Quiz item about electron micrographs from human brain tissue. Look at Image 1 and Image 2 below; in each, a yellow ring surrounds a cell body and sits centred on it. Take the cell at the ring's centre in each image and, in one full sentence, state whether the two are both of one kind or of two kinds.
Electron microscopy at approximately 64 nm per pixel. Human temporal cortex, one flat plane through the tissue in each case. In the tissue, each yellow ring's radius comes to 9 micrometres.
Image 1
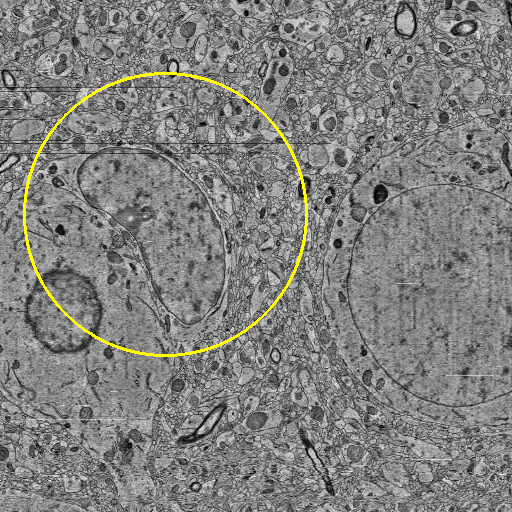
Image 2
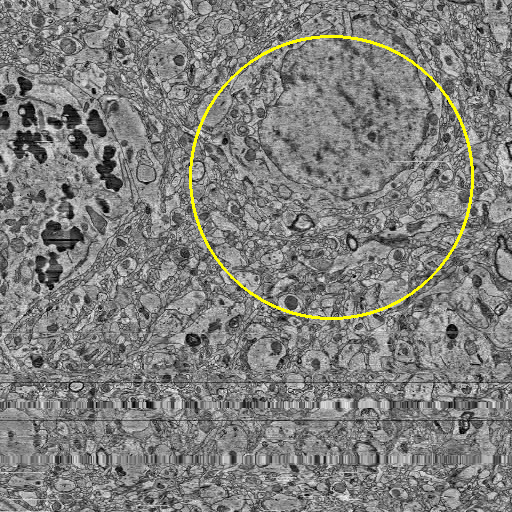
In Image 1 and Image 2, the cells at the ring centres are of two kinds.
